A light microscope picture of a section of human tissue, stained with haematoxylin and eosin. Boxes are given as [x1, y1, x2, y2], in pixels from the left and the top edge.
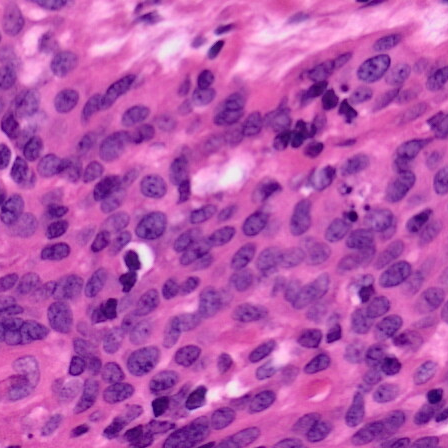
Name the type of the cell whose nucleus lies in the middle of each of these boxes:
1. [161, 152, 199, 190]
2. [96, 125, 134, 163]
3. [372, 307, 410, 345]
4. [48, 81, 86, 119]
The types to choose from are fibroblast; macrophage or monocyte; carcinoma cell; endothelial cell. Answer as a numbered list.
1. macrophage or monocyte
2. carcinoma cell
3. carcinoma cell
4. carcinoma cell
